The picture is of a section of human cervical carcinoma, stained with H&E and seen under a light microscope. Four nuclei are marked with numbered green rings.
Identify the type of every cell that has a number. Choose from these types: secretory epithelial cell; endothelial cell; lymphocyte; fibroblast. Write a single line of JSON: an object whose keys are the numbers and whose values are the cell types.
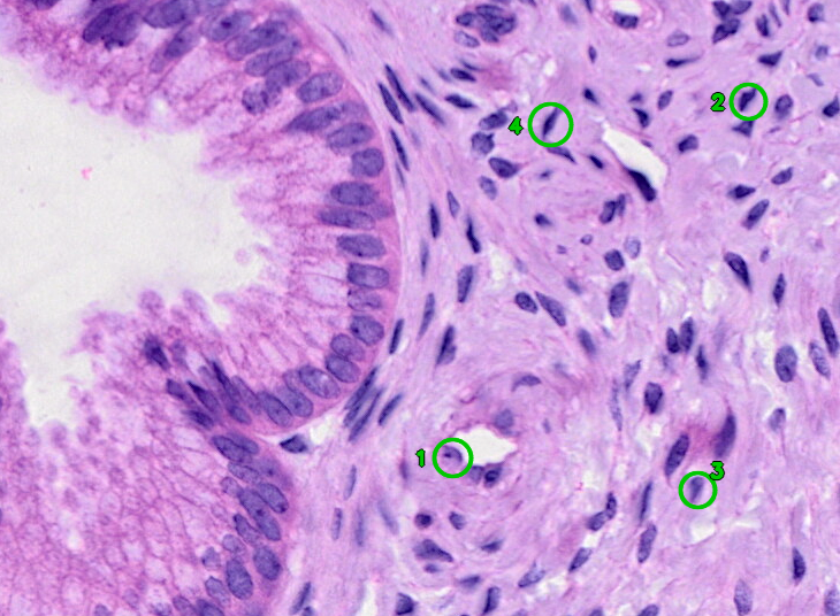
{"1": "endothelial cell", "2": "fibroblast", "3": "fibroblast", "4": "fibroblast"}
